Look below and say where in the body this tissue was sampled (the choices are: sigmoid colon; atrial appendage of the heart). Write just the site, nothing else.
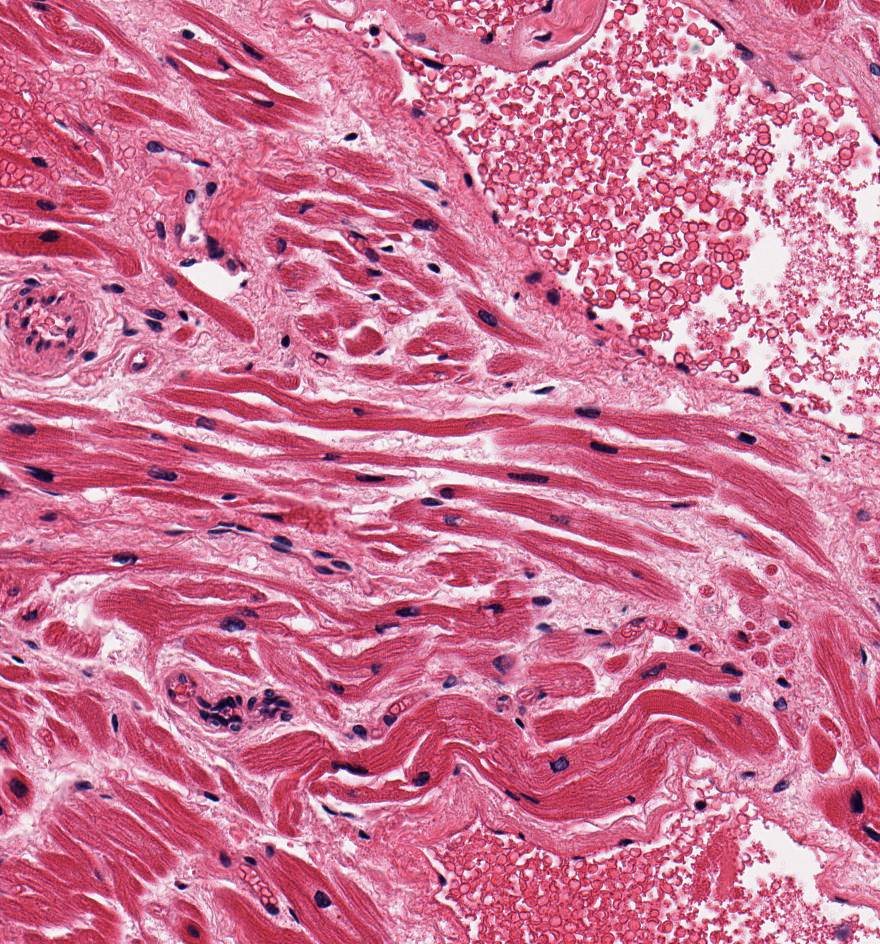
atrial appendage of the heart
